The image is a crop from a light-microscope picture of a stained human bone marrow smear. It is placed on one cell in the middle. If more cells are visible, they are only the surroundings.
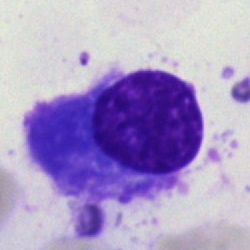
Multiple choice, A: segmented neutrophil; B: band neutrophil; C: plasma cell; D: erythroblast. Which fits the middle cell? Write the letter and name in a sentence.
The correct option, C, names the middle cell as a plasma cell.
